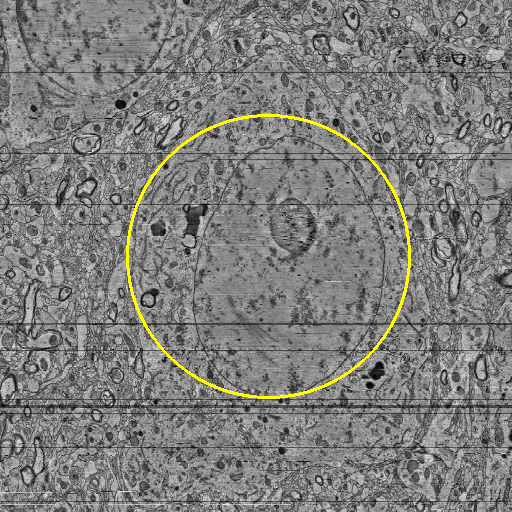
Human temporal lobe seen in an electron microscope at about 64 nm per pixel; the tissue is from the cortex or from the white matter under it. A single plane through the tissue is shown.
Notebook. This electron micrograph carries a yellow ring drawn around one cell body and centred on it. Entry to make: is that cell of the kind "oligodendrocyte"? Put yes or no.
no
